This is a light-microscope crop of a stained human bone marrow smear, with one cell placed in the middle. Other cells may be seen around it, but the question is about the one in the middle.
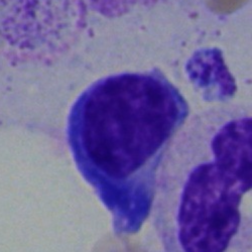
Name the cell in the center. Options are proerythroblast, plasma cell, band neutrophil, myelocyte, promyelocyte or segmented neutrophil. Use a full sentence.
The centrally placed cell is classified as a plasma cell.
